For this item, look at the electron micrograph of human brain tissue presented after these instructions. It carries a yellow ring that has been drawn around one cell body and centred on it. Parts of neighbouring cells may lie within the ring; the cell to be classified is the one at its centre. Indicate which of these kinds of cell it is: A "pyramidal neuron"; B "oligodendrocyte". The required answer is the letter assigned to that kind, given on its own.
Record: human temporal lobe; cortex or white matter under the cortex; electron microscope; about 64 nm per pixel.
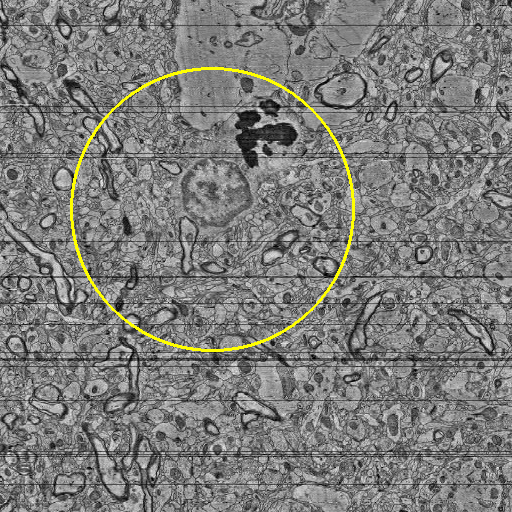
B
